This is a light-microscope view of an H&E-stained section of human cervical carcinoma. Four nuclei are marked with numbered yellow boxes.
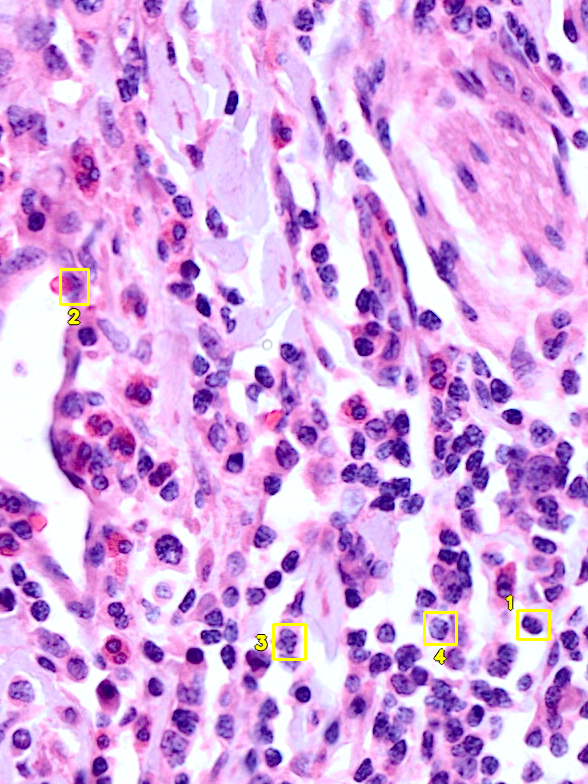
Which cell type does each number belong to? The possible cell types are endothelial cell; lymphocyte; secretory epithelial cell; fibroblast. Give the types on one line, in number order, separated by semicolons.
lymphocyte; endothelial cell; lymphocyte; lymphocyte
